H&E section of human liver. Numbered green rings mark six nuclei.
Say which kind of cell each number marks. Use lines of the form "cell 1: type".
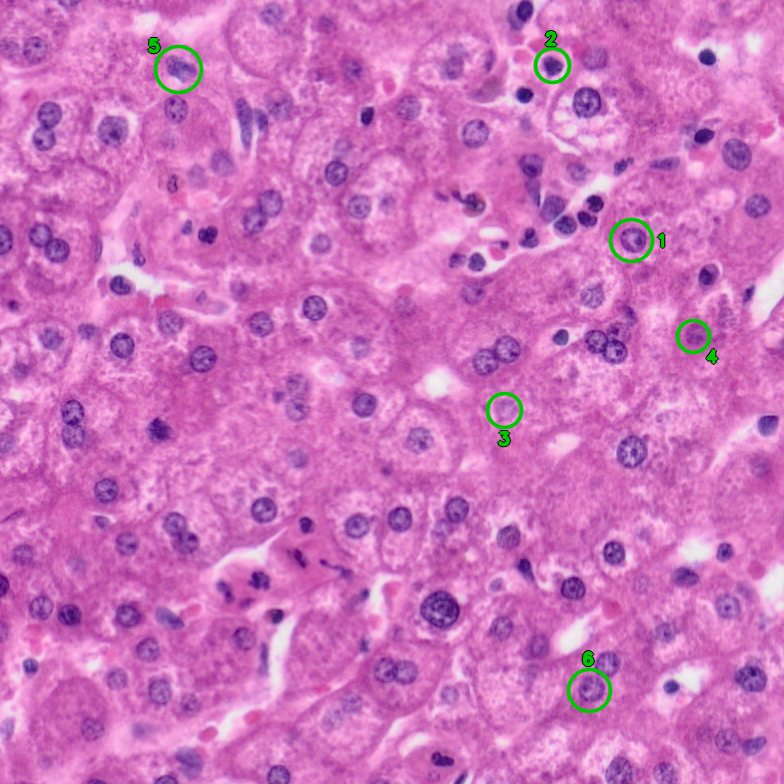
cell 1: hepatocyte
cell 2: lymphocyte
cell 3: hepatocyte
cell 4: hepatocyte
cell 5: endothelial cell
cell 6: hepatocyte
